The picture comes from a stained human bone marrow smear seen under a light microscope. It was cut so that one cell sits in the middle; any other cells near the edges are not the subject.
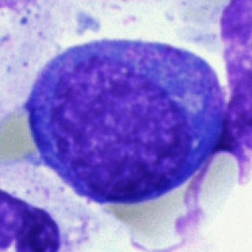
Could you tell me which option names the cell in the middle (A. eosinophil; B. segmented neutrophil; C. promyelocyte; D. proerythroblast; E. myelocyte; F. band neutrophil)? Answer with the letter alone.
C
